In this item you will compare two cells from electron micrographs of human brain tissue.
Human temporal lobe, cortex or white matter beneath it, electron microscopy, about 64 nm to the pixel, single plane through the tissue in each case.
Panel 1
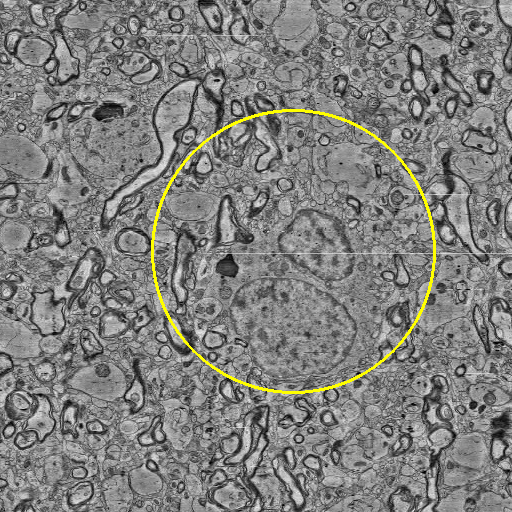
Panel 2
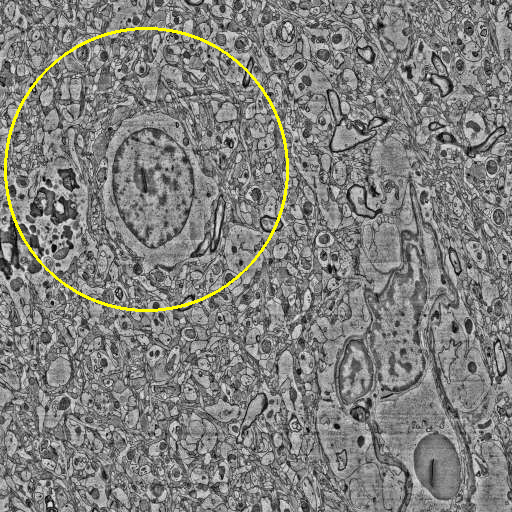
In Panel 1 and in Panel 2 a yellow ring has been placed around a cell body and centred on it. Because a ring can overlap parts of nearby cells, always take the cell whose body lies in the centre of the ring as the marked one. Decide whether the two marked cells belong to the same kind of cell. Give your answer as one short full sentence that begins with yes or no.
No, the two marked cells belong to two kinds of cell.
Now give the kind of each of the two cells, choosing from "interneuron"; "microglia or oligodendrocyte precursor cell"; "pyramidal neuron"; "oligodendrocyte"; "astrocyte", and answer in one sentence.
The cell in the first picture is an oligodendrocyte, and the cell in the second is an astrocyte.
